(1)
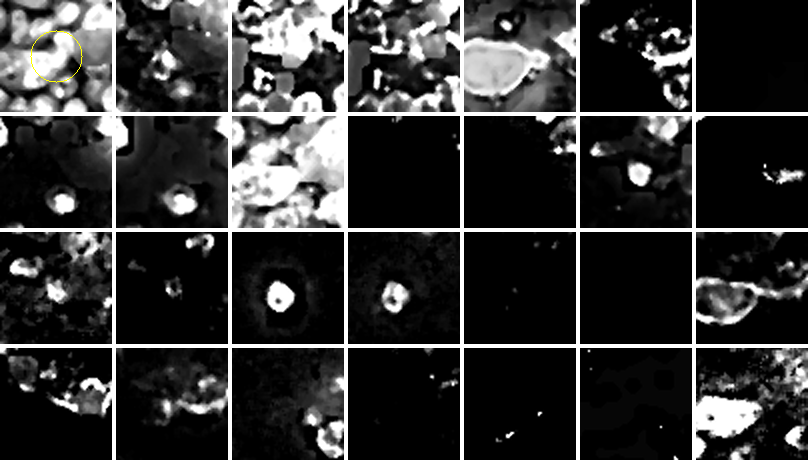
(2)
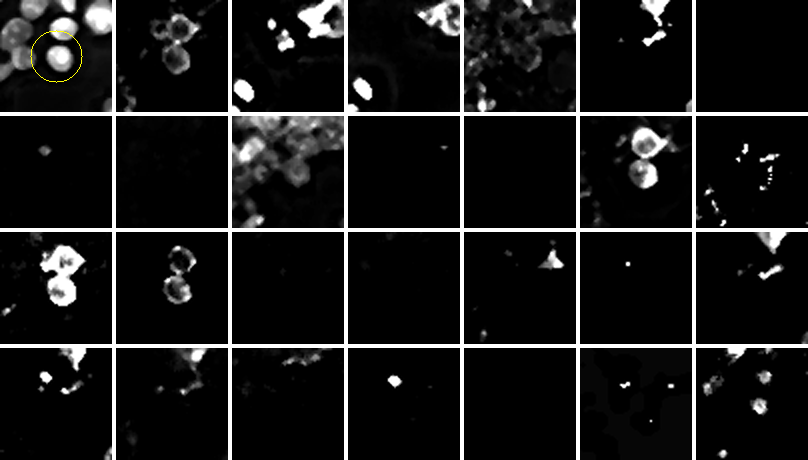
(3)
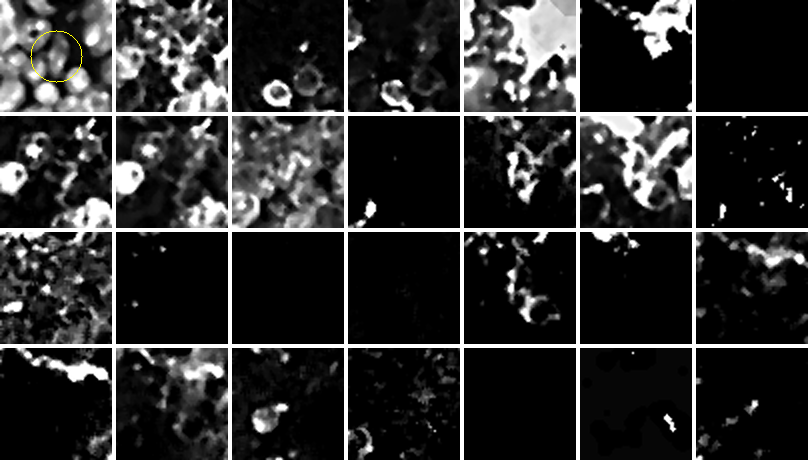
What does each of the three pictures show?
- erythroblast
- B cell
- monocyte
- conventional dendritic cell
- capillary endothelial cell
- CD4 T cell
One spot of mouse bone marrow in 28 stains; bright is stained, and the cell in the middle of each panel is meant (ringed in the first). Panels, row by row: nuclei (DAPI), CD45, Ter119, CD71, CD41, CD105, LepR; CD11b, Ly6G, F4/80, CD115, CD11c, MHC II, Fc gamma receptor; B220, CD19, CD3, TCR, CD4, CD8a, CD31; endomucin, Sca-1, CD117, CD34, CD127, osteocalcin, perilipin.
(1) capillary endothelial cell
(2) B cell
(3) conventional dendritic cell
